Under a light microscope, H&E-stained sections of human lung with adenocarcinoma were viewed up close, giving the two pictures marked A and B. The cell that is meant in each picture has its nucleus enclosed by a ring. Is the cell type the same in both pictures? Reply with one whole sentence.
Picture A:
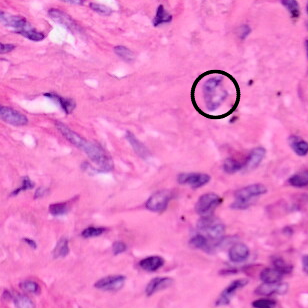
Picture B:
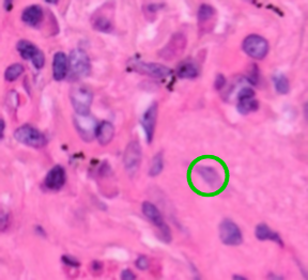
Yes, both are fibroblasts.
